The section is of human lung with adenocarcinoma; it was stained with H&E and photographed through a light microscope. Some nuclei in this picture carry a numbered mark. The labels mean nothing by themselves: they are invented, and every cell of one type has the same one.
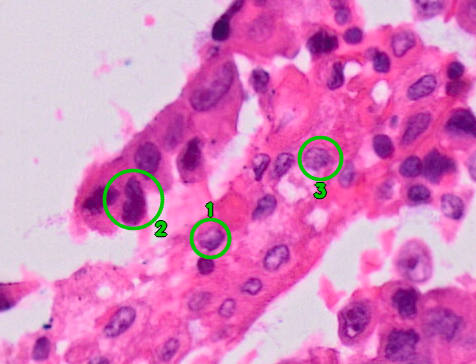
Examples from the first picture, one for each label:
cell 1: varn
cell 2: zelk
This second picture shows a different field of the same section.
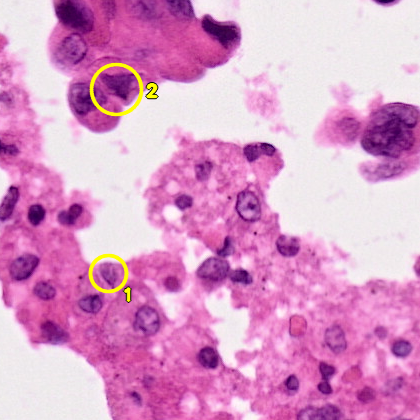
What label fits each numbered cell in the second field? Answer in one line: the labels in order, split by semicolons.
varn; zelk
